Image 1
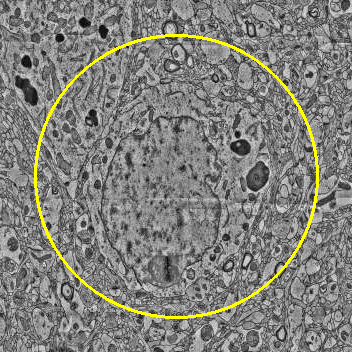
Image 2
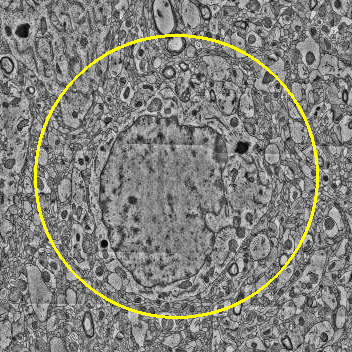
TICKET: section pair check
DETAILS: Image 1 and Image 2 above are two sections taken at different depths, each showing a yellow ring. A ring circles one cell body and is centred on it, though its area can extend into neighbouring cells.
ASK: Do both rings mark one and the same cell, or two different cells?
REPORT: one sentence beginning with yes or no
Yes, the same cell turns up inside each of the two rings.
